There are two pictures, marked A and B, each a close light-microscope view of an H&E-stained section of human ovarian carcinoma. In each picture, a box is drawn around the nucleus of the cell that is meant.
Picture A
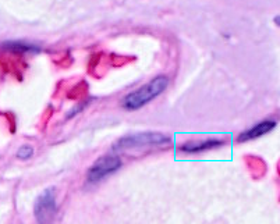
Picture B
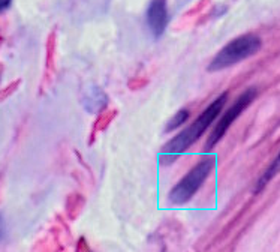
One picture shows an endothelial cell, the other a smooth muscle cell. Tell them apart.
A: endothelial cell
B: smooth muscle cell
